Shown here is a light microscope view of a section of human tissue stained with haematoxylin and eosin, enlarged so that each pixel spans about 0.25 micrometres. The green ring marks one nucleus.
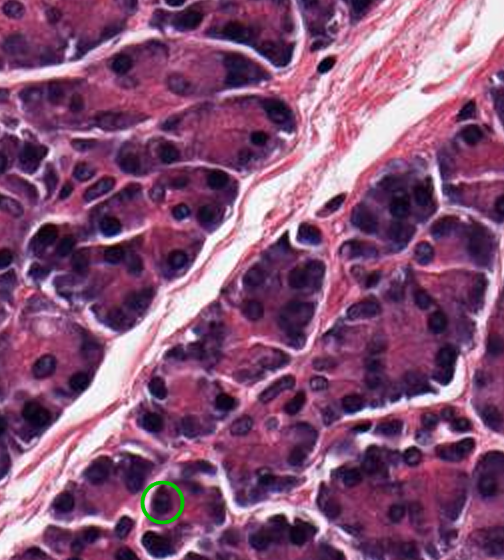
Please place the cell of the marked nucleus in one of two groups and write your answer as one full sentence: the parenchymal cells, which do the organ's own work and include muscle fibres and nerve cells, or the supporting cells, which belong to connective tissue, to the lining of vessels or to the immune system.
This marked nucleus is part of a parenchymal cell, namely a pancreatic acinar cell.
